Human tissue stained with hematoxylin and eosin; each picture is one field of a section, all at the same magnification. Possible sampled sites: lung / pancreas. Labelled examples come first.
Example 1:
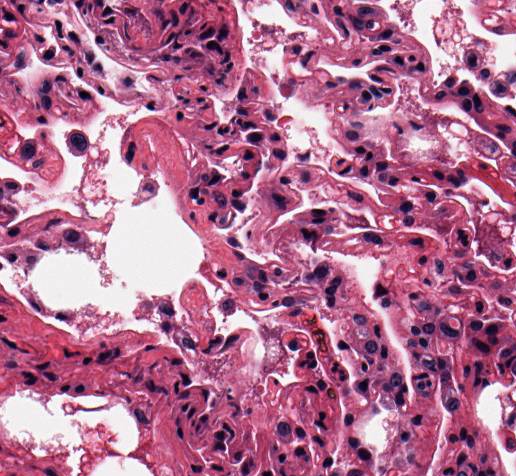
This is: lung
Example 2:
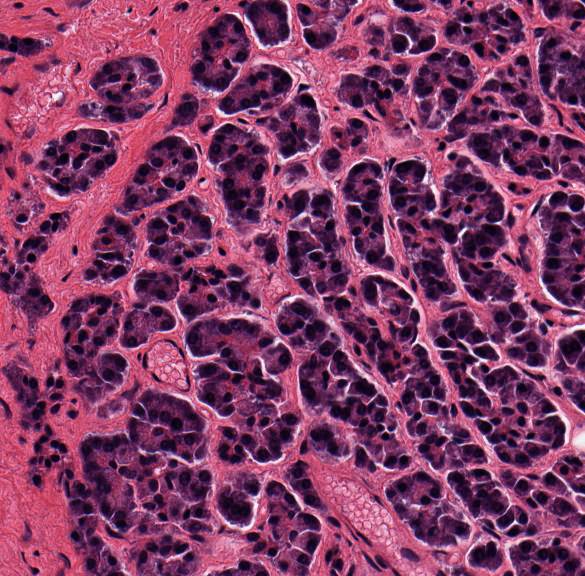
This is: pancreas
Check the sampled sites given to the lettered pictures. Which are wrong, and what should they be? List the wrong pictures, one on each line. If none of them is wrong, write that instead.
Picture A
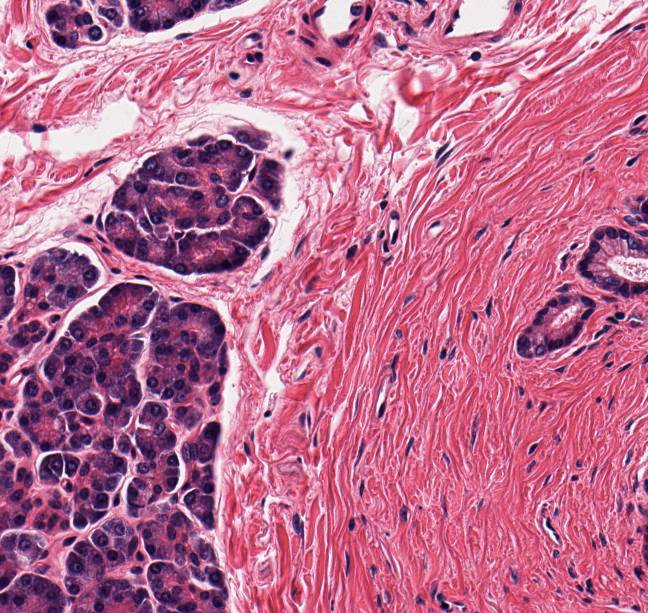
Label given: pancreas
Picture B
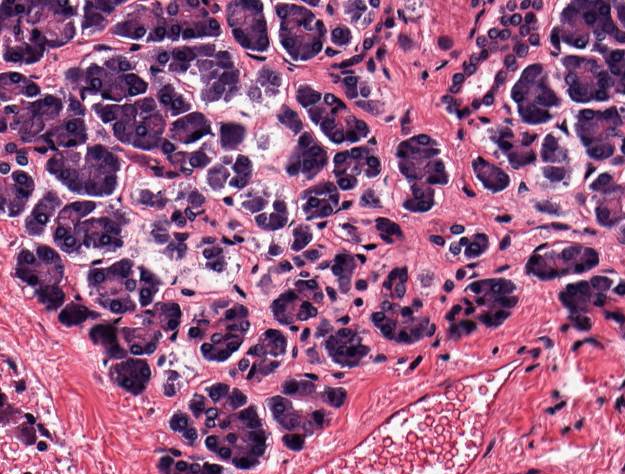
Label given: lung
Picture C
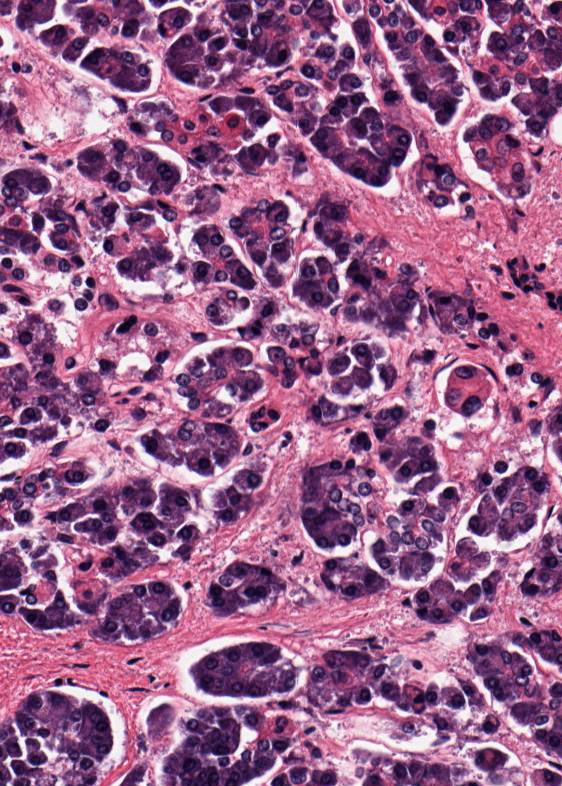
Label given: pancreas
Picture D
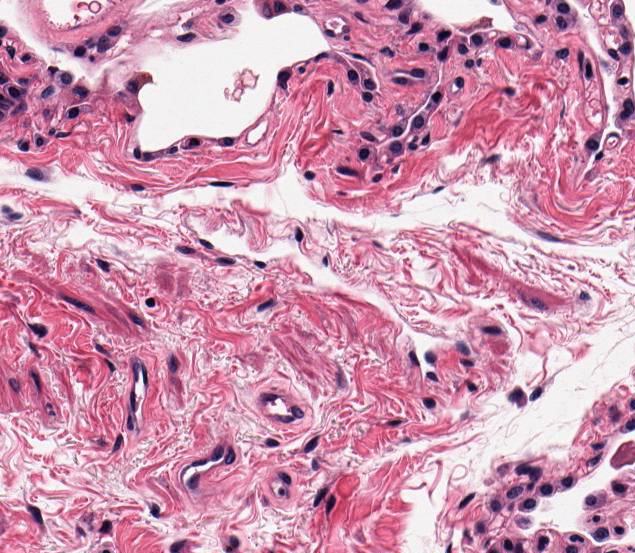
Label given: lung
B is labelled lung; correct label: pancreas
